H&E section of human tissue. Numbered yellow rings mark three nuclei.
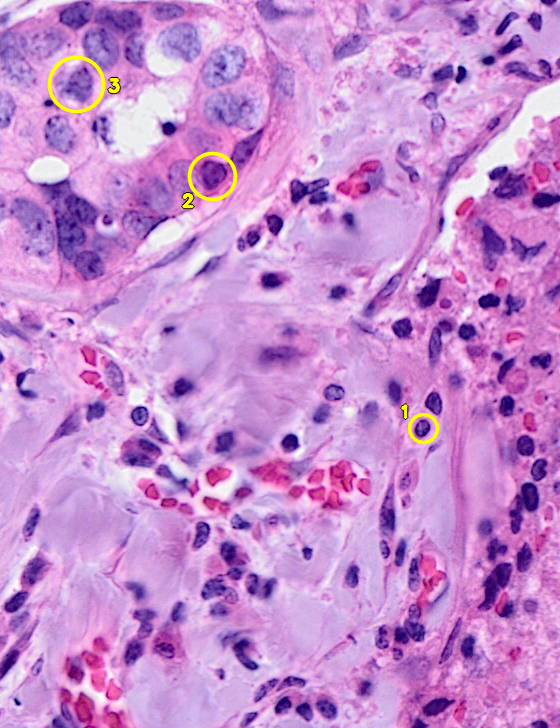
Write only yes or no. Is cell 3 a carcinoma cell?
yes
